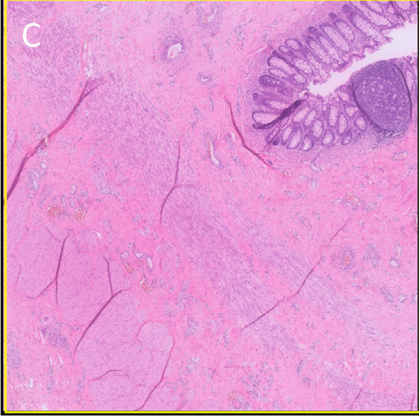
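Most of the field is taken up by pink-staining tissue made of bundles of elongated fibers, crossed by a few thin cracks and small vessels. In the upper right corner lies purple mucosa with round glandular crypts around a lumen and a dense round cluster of small dark nuclei beside it. The pink bundles are muscle fibers of the bowel wall.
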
